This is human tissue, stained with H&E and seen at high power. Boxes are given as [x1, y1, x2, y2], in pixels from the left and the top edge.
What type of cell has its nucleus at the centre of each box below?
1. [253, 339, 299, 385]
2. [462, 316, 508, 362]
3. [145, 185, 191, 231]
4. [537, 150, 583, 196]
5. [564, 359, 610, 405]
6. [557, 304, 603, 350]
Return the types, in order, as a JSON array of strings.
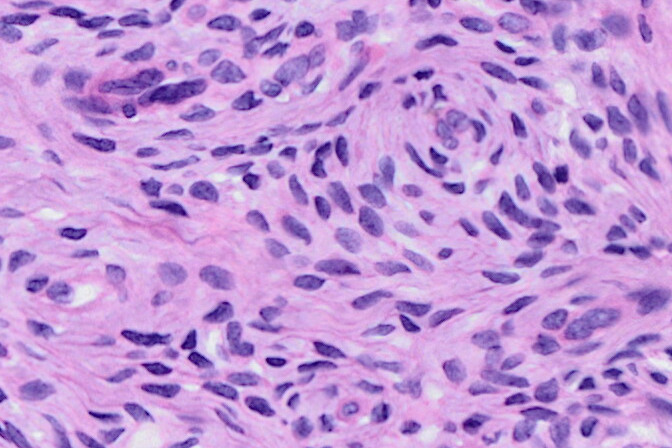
["fibroblast", "fibroblast", "fibroblast", "lymphocyte", "fibroblast", "endothelial cell"]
